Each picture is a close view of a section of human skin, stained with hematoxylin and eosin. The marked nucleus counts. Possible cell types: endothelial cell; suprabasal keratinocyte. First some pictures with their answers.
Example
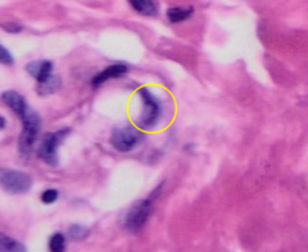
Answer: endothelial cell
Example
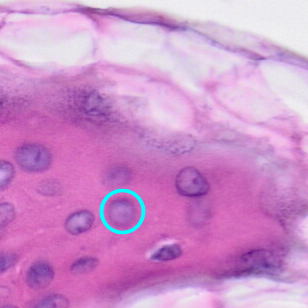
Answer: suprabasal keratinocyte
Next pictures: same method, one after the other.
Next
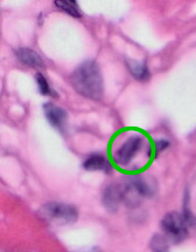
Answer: endothelial cell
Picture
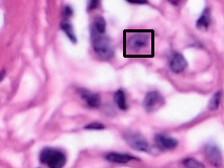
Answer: endothelial cell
